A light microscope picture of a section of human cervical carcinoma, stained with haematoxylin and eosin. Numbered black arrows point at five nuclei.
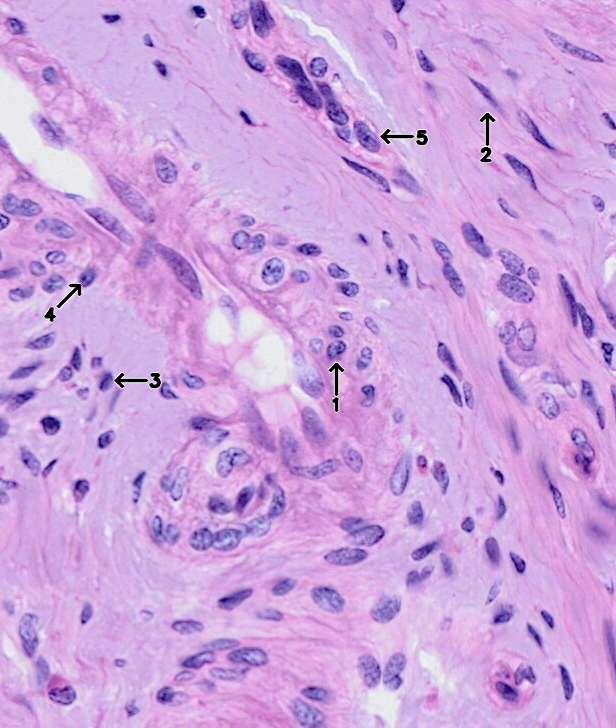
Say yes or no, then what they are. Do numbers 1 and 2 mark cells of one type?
No, a smooth muscle cell is what cell 1 is, and a fibroblast is what cell 2 is.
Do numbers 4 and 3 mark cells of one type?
No, sorry, cell 4 is a smooth muscle cell and cell 3 is a fibroblast.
